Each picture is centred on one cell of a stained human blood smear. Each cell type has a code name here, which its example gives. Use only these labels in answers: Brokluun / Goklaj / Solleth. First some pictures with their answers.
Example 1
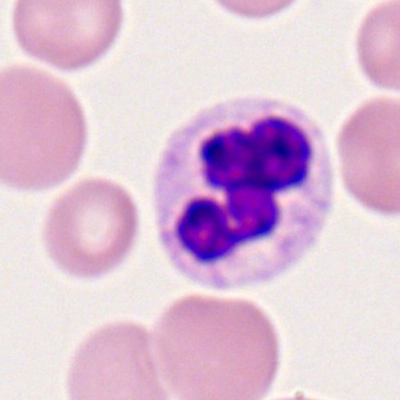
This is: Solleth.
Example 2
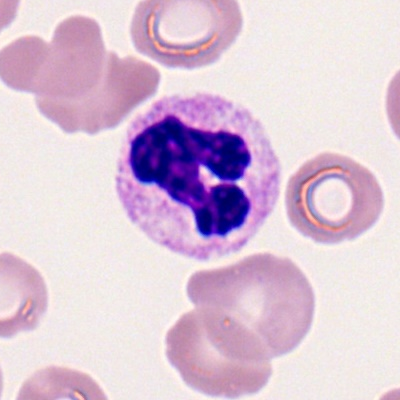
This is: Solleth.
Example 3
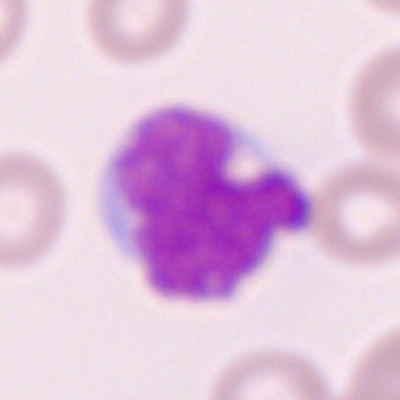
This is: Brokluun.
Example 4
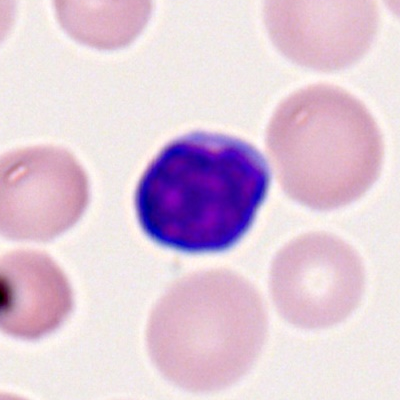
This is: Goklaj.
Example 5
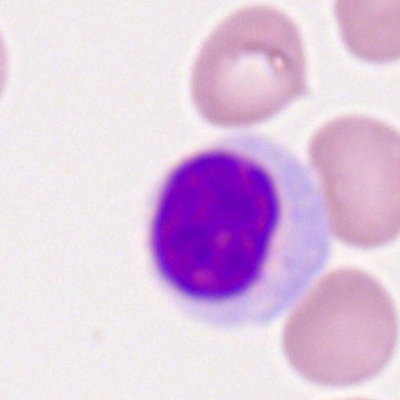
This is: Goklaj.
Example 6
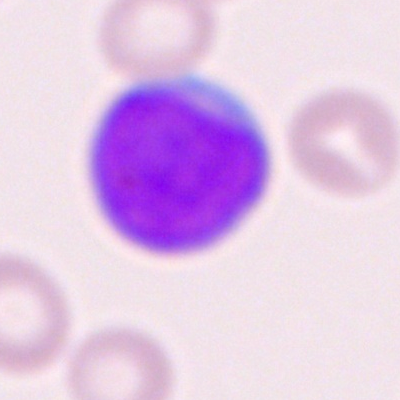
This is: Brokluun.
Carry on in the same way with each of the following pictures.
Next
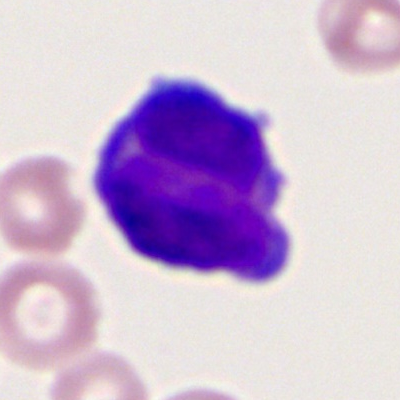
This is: Brokluun.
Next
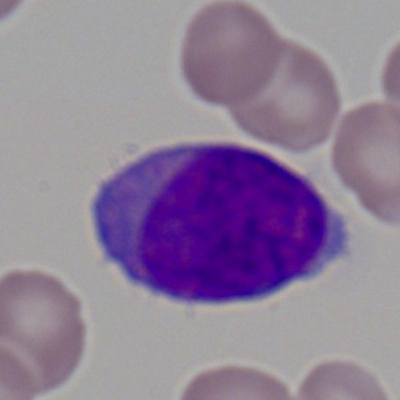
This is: Brokluun.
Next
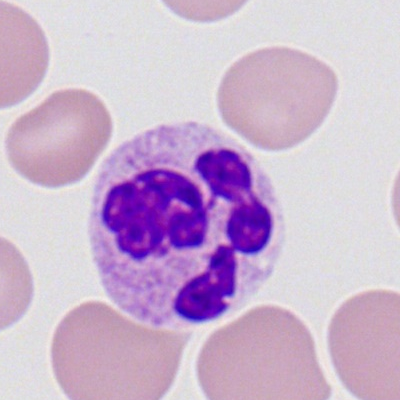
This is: Solleth.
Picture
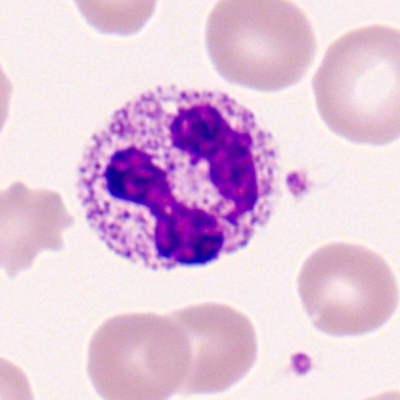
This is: Solleth.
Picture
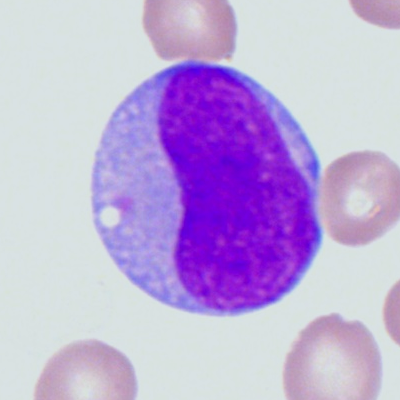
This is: Brokluun.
